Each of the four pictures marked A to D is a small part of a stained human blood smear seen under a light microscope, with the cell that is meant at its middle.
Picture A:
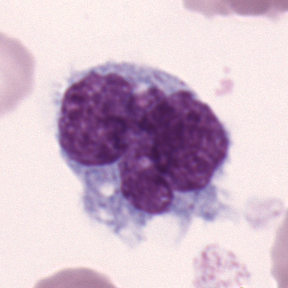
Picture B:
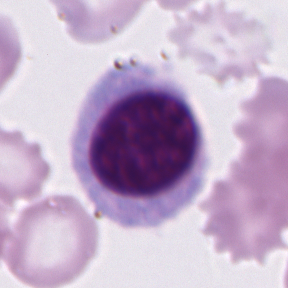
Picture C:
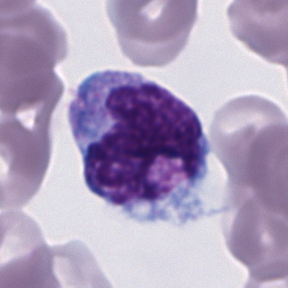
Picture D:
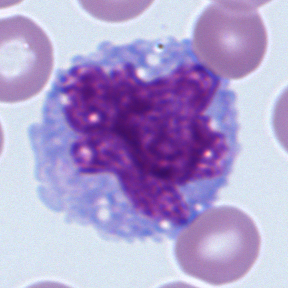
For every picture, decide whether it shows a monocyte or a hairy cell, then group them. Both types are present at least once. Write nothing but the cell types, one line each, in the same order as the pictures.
monocyte
hairy cell
monocyte
monocyte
